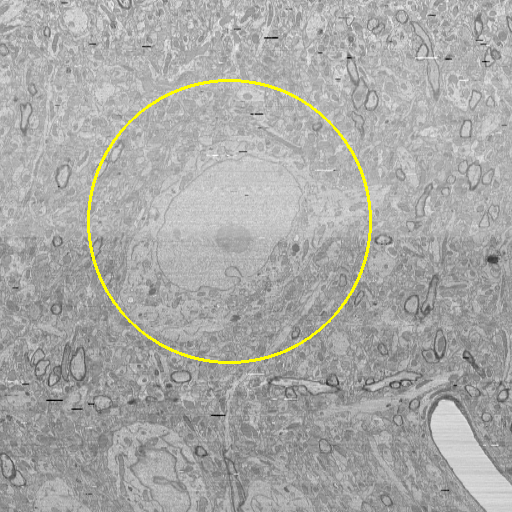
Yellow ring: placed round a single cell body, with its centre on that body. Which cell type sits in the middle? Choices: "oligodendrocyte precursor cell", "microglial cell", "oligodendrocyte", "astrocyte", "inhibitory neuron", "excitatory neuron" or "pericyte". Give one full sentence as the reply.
It is an excitatory neuron whose cell body sits at the centre of the yellow ring.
